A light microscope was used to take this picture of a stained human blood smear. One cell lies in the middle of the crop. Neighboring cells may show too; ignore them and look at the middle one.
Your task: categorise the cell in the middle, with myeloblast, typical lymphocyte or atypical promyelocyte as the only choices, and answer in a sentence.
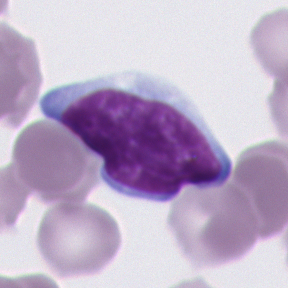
The cell centred in this crop is categorized as a typical lymphocyte.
